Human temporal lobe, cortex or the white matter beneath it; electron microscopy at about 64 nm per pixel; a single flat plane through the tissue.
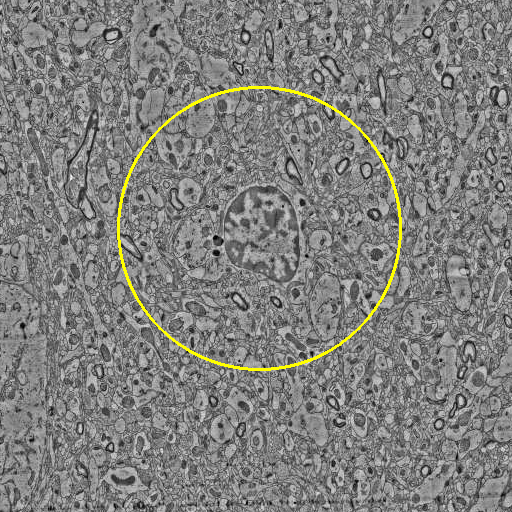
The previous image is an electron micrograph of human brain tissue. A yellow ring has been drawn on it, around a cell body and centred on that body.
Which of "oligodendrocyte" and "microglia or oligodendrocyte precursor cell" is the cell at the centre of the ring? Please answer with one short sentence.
The cell body at the centre of the ring belongs to a microglial cell or oligodendrocyte precursor cell.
